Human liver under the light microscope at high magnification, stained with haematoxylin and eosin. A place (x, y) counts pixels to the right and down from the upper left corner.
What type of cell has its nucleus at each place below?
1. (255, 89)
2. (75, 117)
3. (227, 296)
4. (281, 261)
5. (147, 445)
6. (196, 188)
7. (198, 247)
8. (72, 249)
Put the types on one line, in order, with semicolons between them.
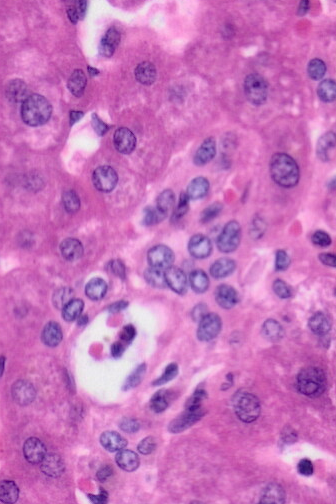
hepatocyte; fibroblast or stellate cell; cholangiocyte; fibroblast or stellate cell; cholangiocyte; cholangiocyte; cholangiocyte; hepatocyte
